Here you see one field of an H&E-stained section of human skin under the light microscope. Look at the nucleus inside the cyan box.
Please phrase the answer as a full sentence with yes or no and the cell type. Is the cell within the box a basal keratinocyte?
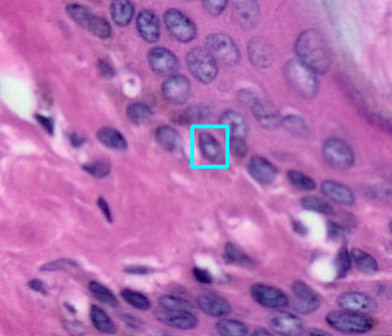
Yes, the claim that the cell within the box is a basal keratinocyte holds true.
